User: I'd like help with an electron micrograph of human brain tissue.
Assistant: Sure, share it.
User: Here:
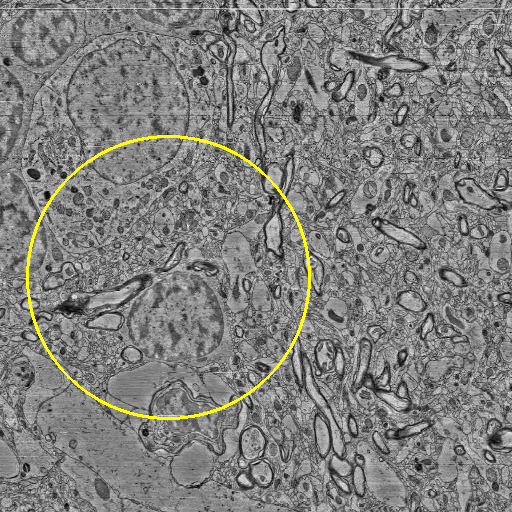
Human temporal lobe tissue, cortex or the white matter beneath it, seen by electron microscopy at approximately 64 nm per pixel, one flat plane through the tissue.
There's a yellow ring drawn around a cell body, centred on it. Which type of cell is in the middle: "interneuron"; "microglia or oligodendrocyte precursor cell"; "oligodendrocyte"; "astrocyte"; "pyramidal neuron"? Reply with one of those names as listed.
oligodendrocyte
